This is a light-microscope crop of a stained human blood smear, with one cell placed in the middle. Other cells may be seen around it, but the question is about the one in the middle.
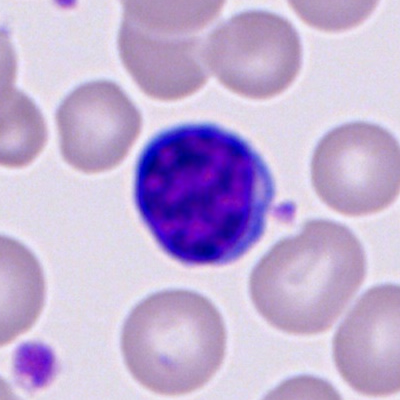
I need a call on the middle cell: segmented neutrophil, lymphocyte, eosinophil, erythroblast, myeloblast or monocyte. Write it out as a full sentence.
The cell at the central position in this crop is a lymphocyte.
